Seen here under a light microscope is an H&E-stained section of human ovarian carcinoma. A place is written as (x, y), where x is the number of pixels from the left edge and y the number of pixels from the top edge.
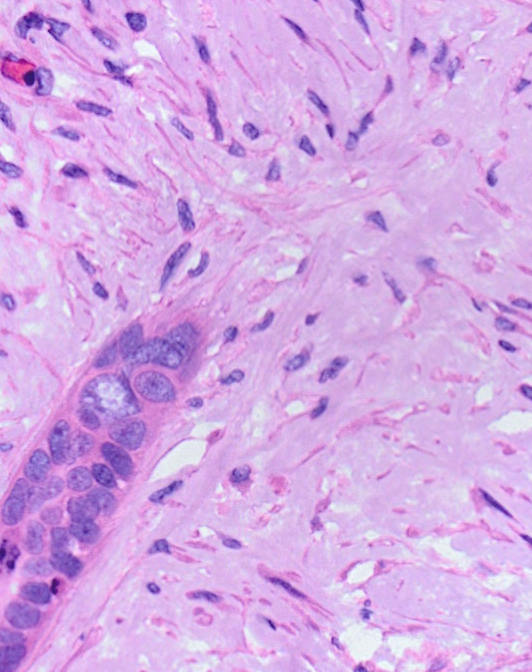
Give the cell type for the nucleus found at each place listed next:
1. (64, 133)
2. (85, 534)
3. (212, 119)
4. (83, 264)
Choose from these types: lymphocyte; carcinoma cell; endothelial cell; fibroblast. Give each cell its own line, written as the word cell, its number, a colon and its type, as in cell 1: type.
cell 1: fibroblast
cell 2: carcinoma cell
cell 3: fibroblast
cell 4: fibroblast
